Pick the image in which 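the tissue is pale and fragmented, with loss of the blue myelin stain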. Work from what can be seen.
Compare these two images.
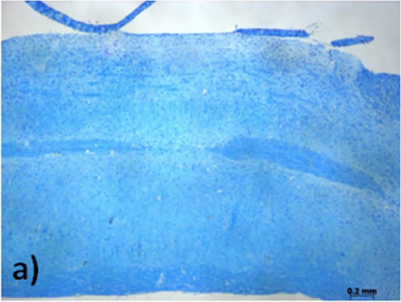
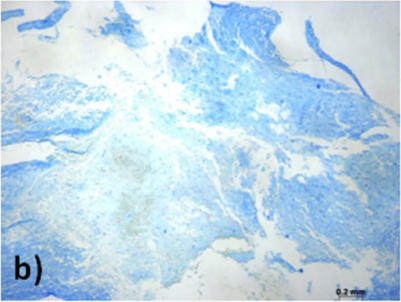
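Second image: the blue stain is patchy and pale, and the tissue is broken up by many gaps. First image: the tissue is compact and evenly stained deep blue. On this evidence: the second image.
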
